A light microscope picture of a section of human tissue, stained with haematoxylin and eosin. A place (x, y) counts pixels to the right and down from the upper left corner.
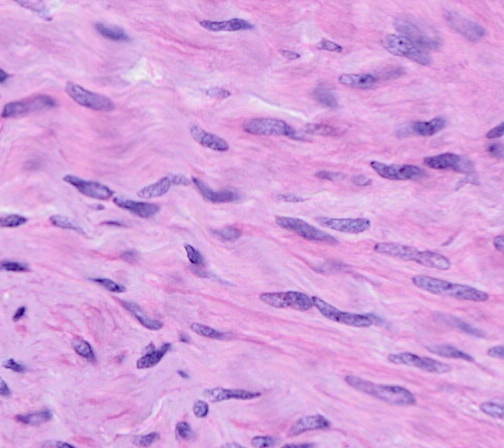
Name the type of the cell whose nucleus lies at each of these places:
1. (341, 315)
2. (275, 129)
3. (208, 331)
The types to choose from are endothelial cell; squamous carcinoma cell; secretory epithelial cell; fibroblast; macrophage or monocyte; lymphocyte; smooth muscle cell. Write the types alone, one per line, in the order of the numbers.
fibroblast
smooth muscle cell
smooth muscle cell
